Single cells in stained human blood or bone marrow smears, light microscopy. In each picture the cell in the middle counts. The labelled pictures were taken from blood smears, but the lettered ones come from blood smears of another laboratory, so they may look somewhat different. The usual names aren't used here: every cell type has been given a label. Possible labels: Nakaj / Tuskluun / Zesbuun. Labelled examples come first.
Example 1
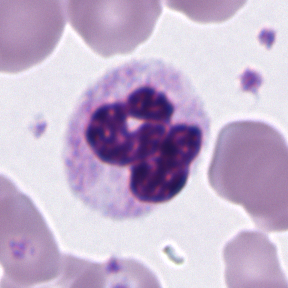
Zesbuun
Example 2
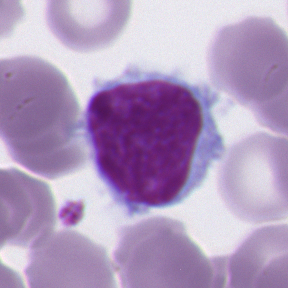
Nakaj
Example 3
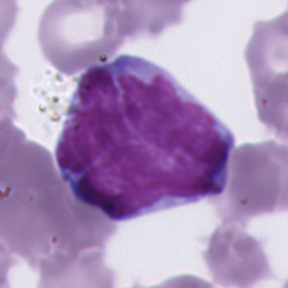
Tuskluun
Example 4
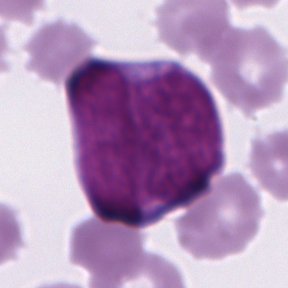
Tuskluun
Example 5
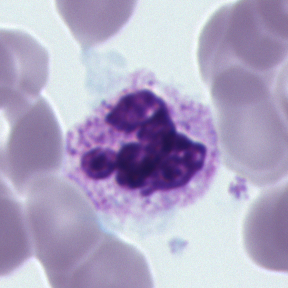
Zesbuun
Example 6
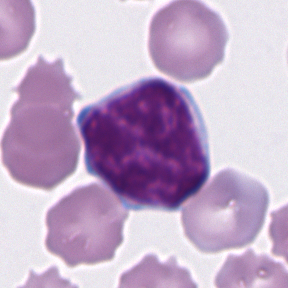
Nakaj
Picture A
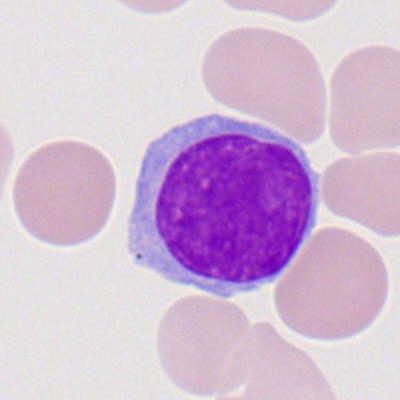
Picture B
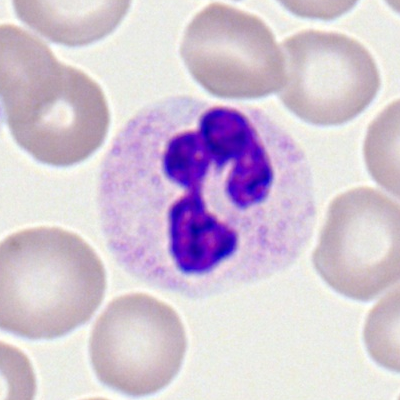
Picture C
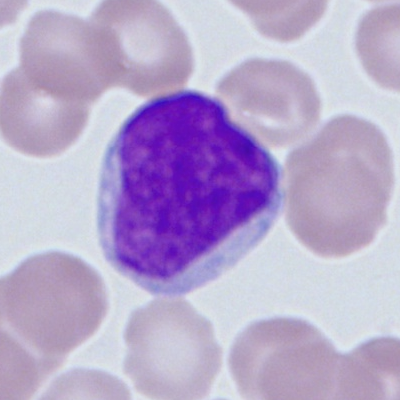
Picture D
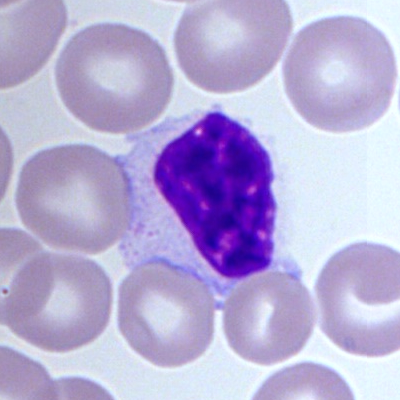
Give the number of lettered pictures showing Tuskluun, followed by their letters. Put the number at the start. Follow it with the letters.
1: C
